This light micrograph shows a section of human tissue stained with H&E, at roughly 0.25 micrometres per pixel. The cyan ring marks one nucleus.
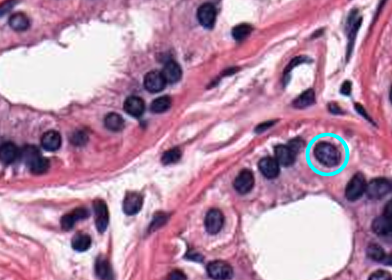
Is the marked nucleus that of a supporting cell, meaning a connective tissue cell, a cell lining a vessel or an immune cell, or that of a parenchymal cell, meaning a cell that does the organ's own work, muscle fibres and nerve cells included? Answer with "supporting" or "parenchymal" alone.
parenchymal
